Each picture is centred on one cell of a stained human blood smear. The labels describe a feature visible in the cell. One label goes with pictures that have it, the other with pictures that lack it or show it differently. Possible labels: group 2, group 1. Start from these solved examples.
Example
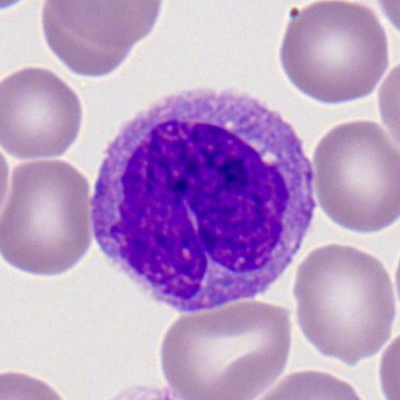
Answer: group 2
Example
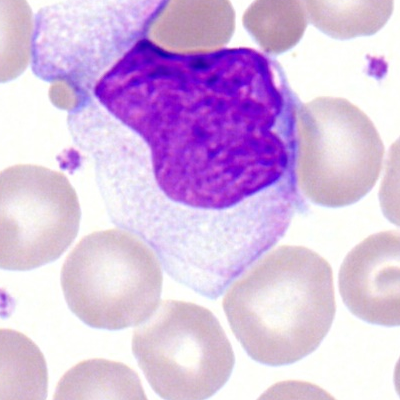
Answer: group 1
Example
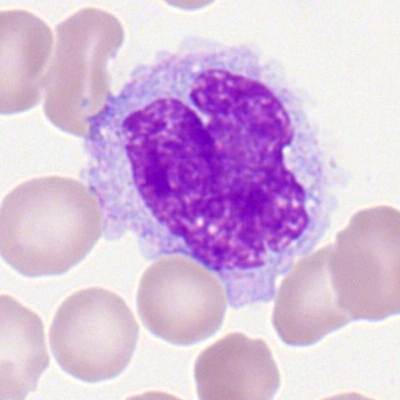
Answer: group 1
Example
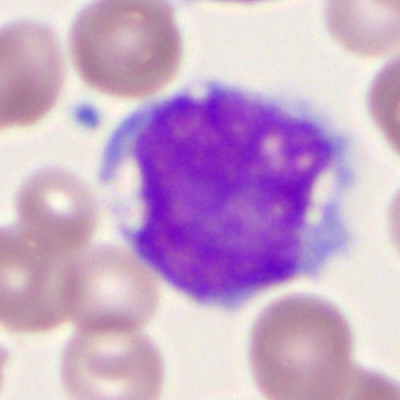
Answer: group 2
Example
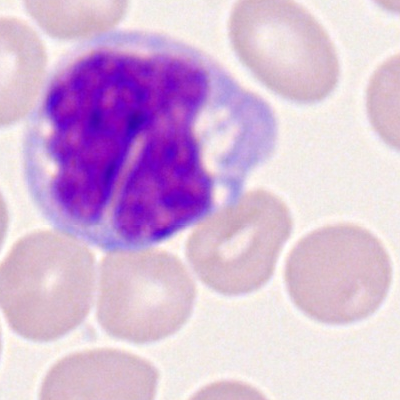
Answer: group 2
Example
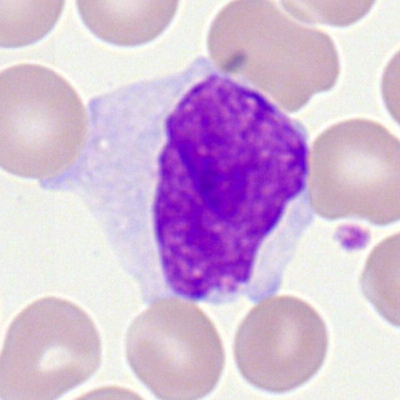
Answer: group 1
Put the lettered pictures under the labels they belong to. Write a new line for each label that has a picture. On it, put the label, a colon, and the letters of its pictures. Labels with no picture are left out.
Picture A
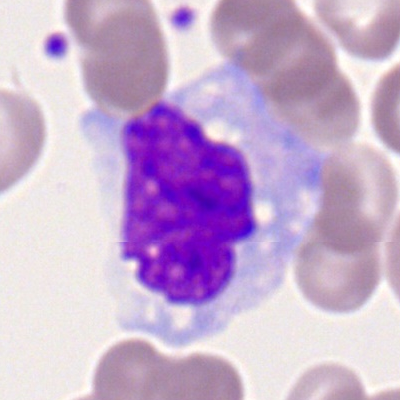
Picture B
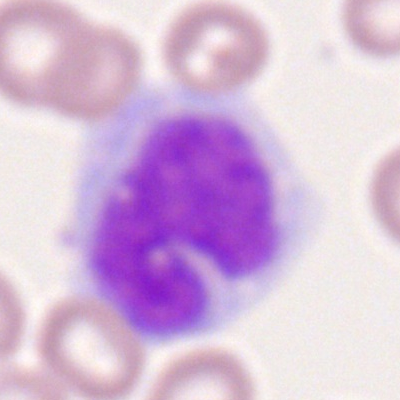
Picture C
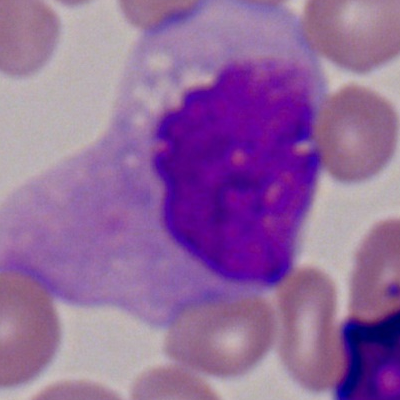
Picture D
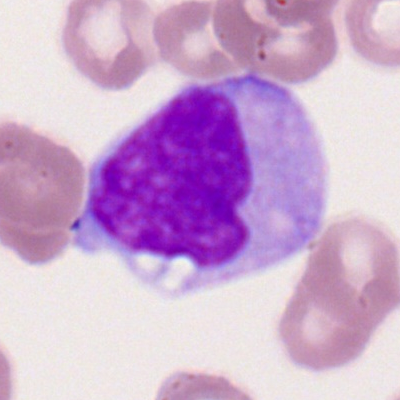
group 2: B
group 1: A, C, D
